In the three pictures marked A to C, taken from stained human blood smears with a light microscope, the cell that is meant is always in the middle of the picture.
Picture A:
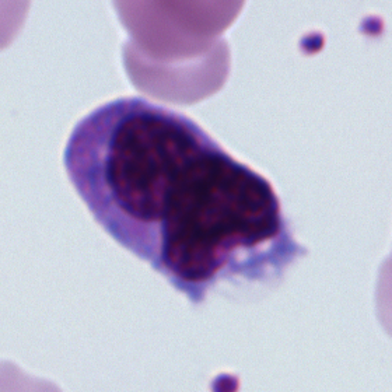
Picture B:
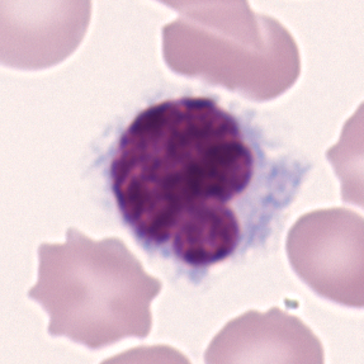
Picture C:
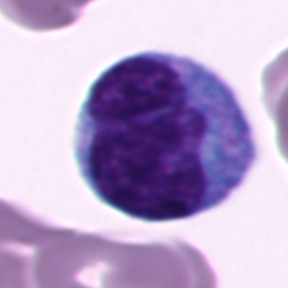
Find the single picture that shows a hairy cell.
B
